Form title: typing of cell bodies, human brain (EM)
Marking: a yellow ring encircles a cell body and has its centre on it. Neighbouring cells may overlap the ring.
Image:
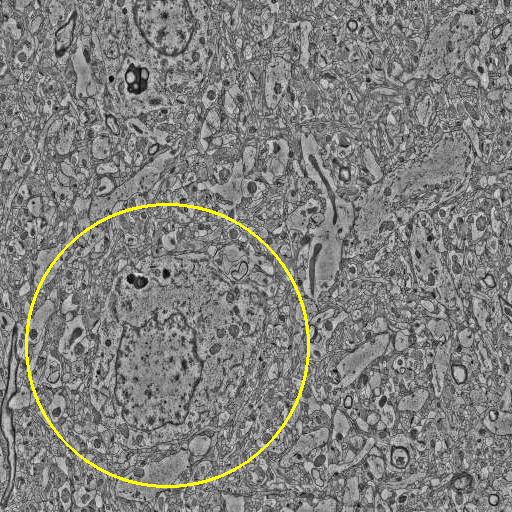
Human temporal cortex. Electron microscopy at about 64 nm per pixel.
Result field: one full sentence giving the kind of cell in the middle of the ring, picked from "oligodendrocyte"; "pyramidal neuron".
In the picture, the ring is centred on a pyramidal neuron, whose cell body it encircles.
